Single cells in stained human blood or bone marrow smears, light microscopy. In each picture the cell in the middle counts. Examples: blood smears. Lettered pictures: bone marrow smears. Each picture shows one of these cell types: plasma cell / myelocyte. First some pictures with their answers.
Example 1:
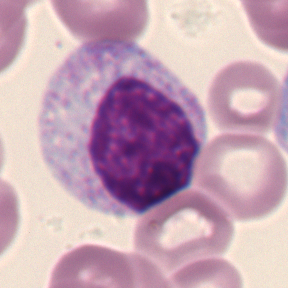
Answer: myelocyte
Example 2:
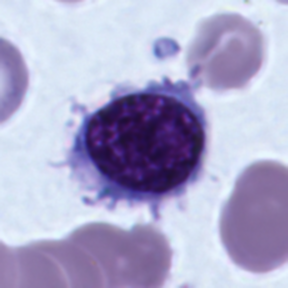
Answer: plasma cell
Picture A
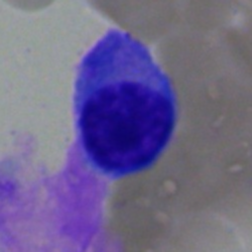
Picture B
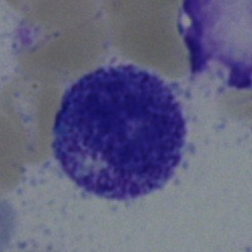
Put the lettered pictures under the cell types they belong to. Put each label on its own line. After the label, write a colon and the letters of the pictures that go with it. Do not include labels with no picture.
plasma cell: A
myelocyte: B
